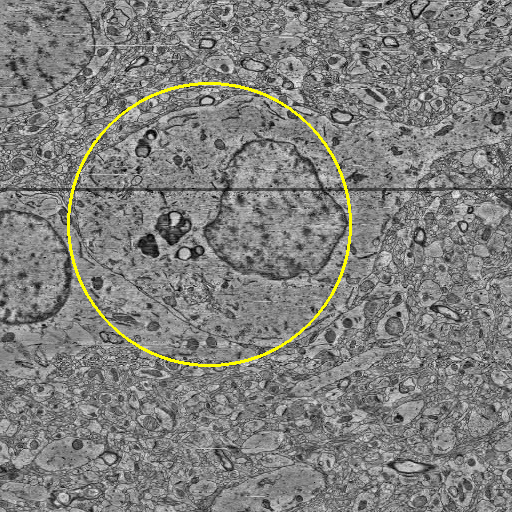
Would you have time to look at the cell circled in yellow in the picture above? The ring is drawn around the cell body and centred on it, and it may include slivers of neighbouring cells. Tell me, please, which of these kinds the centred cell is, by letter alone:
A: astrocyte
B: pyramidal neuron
B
